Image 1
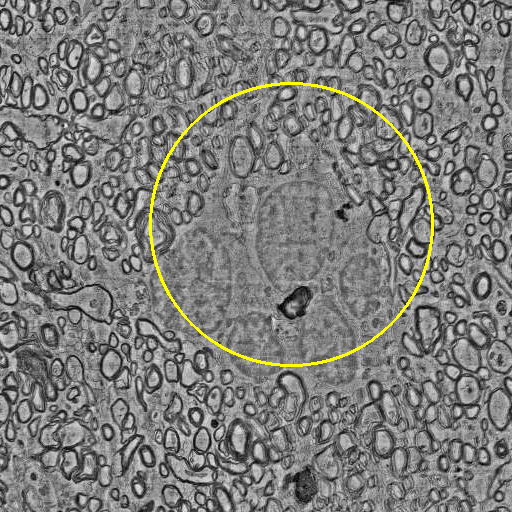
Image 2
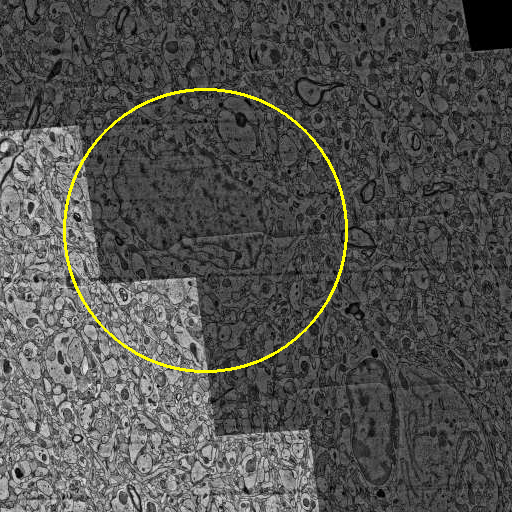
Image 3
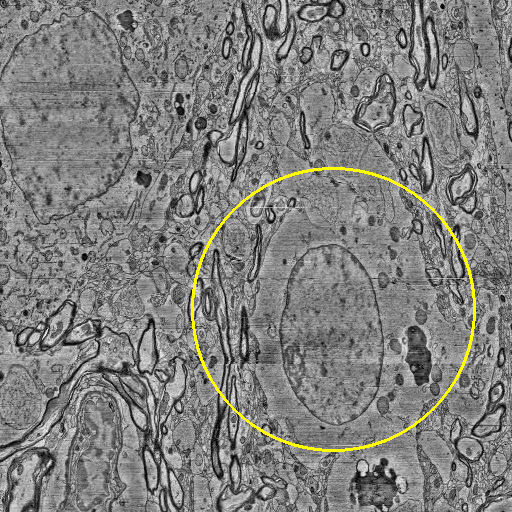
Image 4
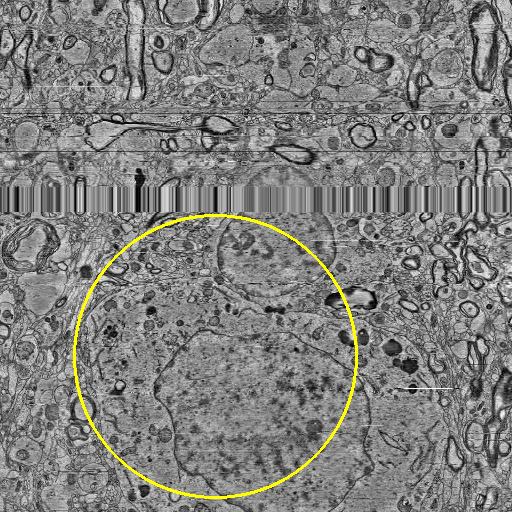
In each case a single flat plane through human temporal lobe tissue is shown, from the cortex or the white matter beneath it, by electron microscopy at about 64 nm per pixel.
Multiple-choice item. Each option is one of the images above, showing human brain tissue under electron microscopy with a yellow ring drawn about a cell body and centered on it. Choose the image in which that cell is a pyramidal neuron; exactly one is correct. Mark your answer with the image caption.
Image 4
